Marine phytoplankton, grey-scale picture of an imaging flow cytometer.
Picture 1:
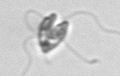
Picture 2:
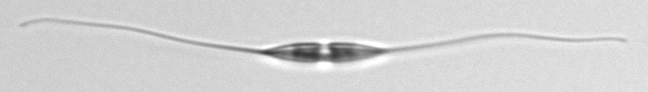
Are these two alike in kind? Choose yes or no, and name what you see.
No. First Pyramimonas, second Cylindrotheca.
